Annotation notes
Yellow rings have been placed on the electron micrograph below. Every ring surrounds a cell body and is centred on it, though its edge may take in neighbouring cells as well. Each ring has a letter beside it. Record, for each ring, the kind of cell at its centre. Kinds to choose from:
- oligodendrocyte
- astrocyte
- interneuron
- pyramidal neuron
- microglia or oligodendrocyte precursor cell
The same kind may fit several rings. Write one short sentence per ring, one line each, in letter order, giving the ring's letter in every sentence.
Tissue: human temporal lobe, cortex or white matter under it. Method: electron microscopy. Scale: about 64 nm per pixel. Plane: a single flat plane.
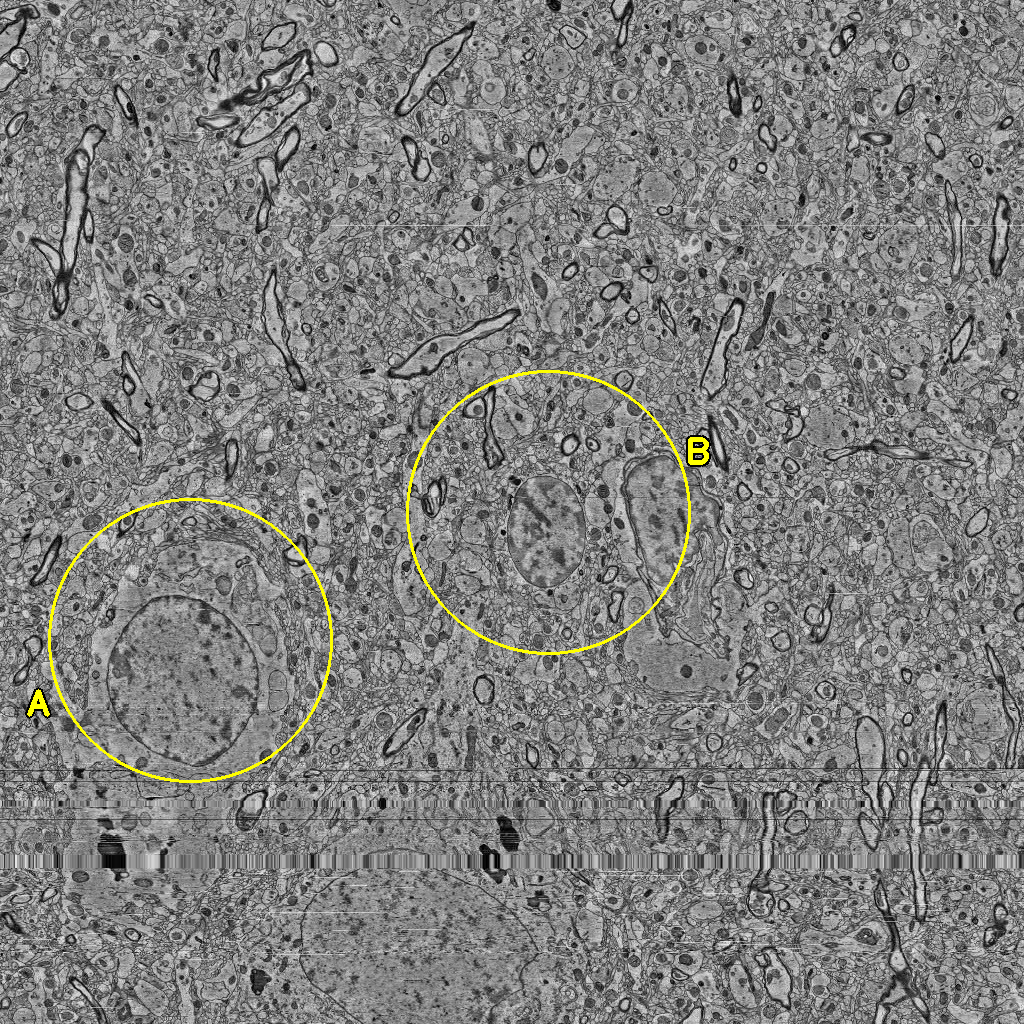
Ring A surrounds an astrocyte.
Ring B surrounds a microglial cell or oligodendrocyte precursor cell.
